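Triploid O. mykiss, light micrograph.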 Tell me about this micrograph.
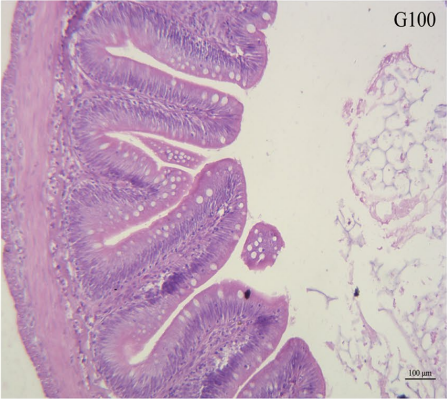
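This is a section through the gut wall, with tall folded villi projecting from the wall into the lumen, stained in pink and purple. Each villus is lined by a tall columnar epithelium whose elongated nuclei form a dense purple band, and many clear round vacuoles sit within this lining. Loose pale pink material floats in the lumen on the right.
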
